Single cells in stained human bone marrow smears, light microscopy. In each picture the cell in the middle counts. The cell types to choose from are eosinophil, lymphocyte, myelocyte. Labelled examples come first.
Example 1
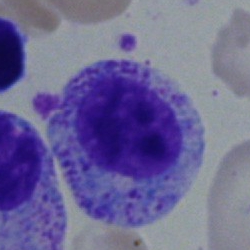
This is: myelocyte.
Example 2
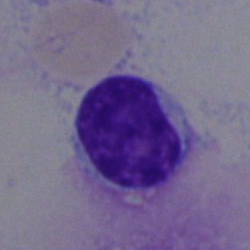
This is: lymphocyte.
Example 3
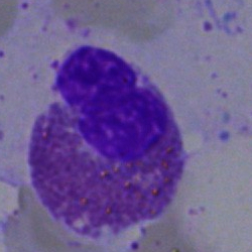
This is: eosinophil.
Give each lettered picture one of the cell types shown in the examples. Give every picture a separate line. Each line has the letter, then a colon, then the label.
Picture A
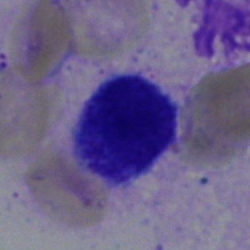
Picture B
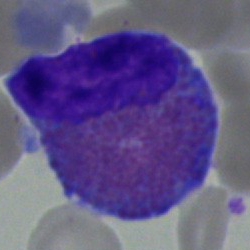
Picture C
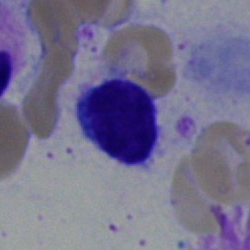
A: lymphocyte.
B: eosinophil.
C: lymphocyte.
